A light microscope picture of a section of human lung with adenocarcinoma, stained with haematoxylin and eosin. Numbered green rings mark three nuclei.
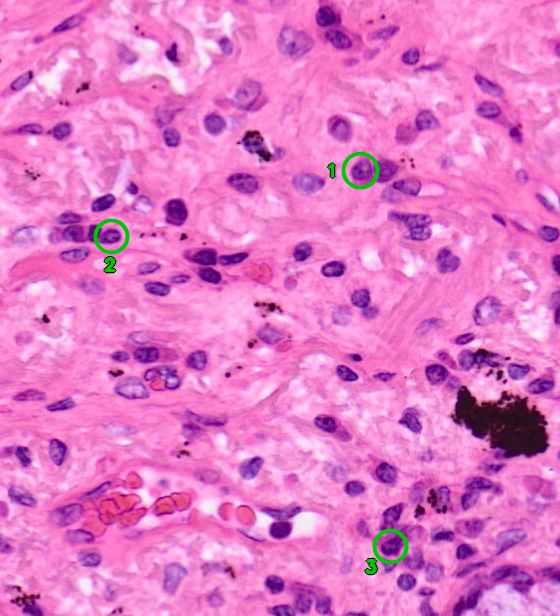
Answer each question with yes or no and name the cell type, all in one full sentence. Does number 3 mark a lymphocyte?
No, the cell tagged 3 is a plasma cell, not a lymphocyte.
